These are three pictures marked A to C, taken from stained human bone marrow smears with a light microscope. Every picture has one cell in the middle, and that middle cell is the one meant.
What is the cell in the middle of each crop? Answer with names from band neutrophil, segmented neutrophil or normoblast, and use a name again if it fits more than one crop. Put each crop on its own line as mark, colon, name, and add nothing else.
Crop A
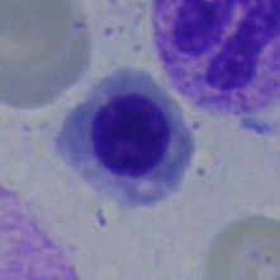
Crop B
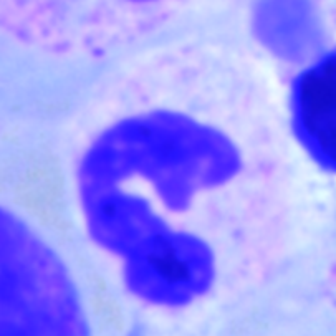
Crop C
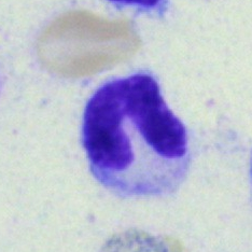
A: normoblast
B: segmented neutrophil
C: band neutrophil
